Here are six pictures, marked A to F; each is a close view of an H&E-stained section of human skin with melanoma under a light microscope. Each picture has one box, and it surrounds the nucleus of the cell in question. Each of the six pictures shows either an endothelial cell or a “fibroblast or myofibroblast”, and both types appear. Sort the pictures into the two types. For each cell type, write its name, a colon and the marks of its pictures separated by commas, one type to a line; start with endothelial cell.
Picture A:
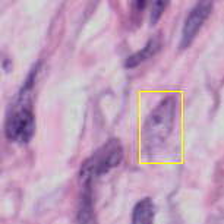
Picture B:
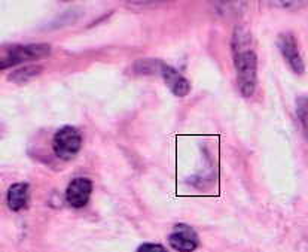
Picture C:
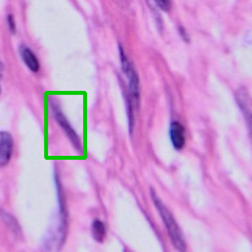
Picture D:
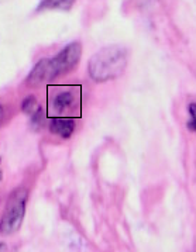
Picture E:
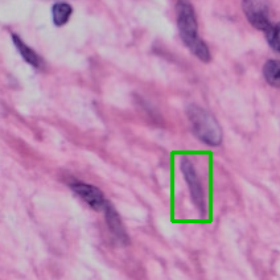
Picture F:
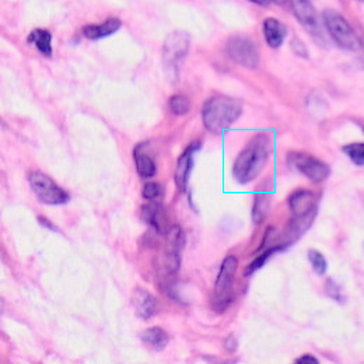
endothelial cell: D, F
fibroblast or myofibroblast: A, B, C, E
